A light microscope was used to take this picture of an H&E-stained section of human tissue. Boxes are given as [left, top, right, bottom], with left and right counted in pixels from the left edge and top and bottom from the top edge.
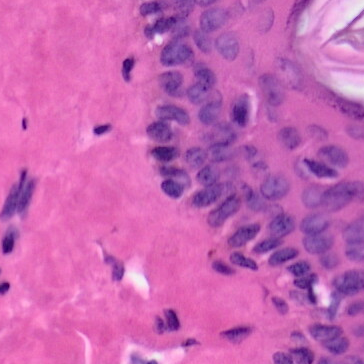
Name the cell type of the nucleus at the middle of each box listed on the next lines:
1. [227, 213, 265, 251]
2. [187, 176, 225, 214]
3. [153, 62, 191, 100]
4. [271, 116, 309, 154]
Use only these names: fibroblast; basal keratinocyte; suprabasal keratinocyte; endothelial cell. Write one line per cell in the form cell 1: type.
cell 1: basal keratinocyte
cell 2: basal keratinocyte
cell 3: basal keratinocyte
cell 4: suprabasal keratinocyte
